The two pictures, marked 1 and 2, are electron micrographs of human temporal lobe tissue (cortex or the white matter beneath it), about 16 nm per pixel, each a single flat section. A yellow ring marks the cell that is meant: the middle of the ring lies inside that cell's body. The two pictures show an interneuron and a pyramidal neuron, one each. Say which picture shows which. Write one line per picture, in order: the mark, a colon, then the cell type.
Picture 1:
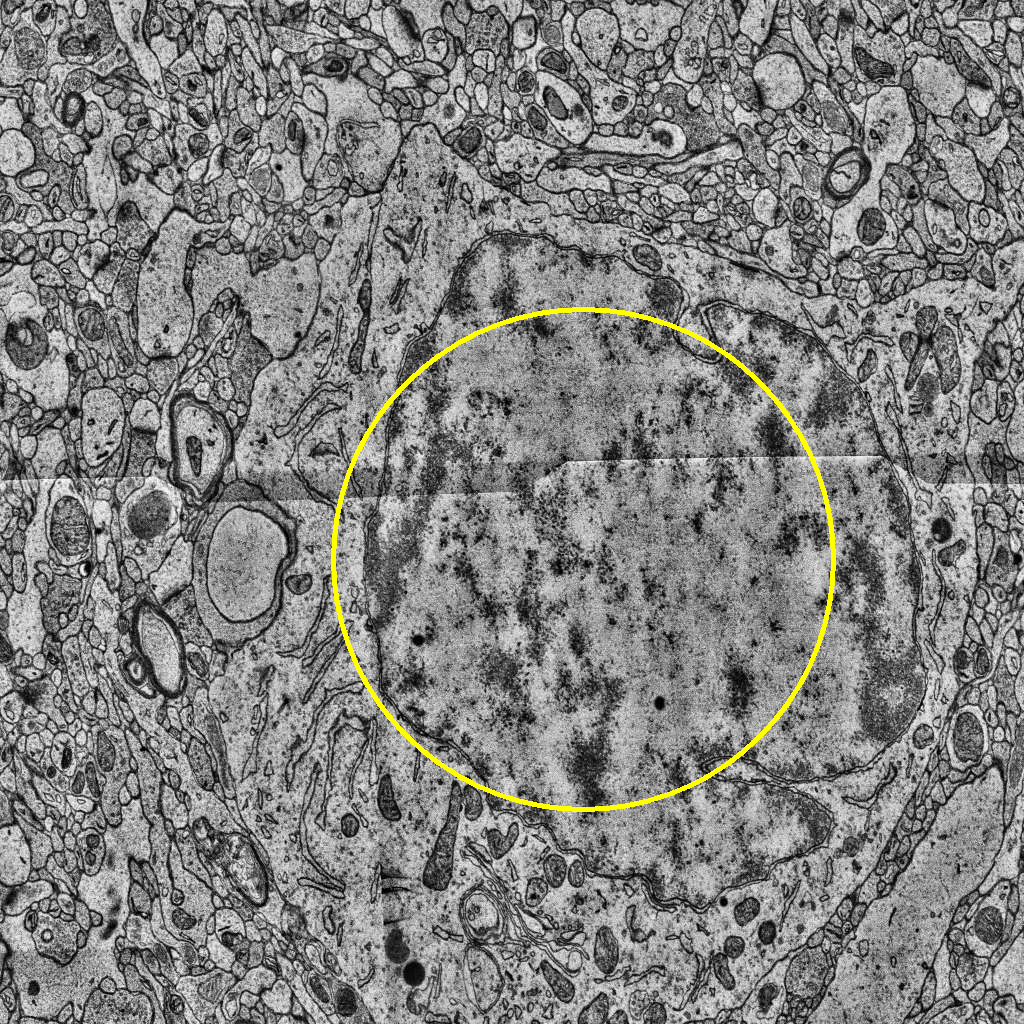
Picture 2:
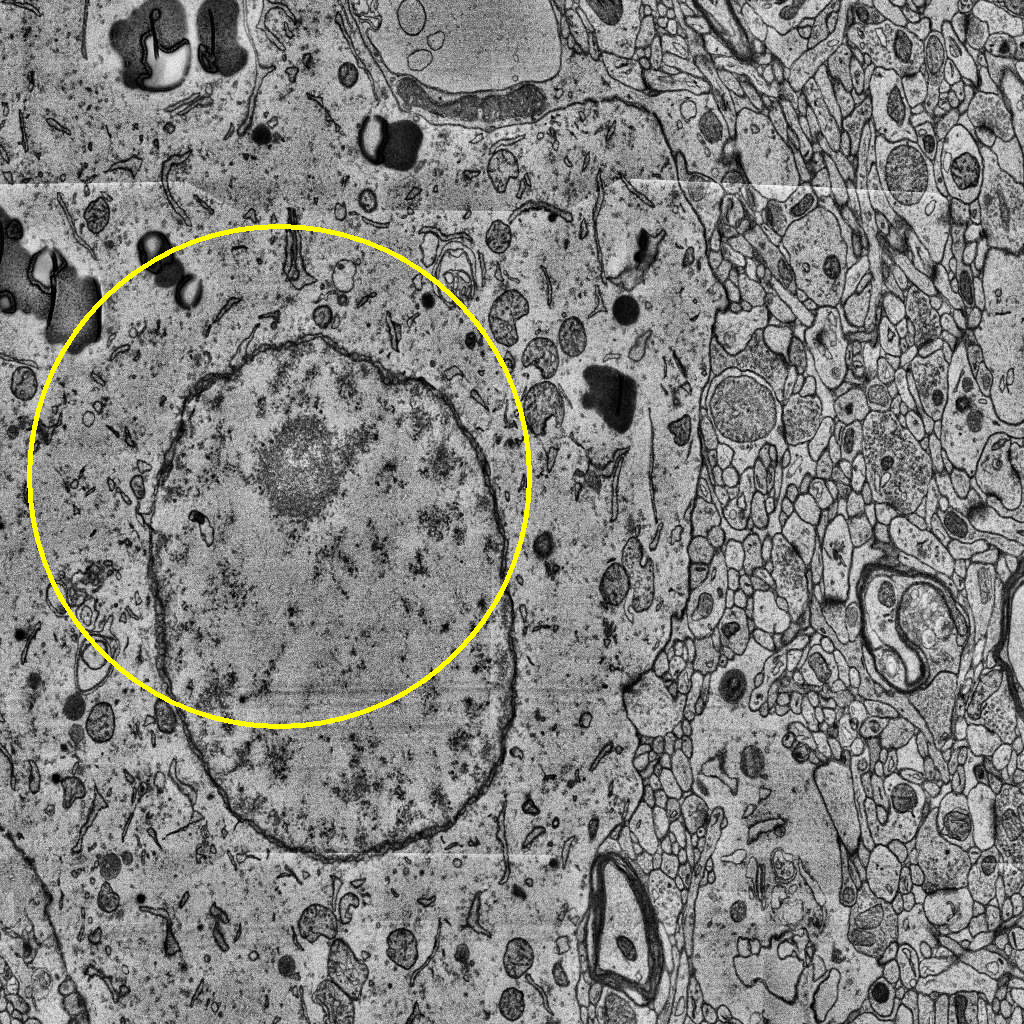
1: interneuron
2: pyramidal neuron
